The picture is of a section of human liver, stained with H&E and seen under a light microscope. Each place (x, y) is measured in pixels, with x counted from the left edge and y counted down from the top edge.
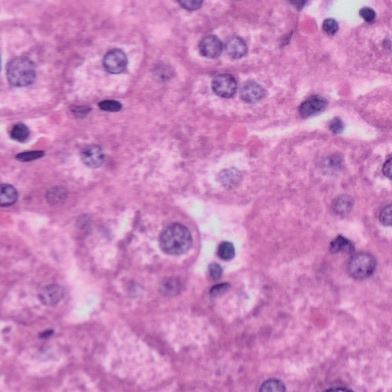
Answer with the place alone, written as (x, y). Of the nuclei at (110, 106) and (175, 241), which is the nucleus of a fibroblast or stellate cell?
(110, 106)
